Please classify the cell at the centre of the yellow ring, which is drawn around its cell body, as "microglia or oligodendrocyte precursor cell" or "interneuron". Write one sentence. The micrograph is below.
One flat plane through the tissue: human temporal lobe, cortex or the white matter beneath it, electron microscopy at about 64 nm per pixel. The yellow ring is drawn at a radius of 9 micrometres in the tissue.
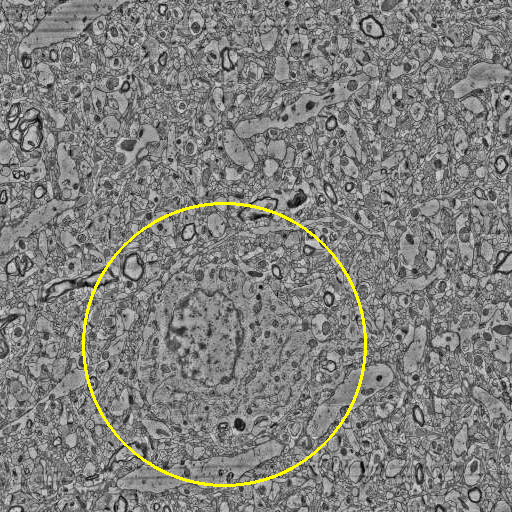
The cell at the ring's centre is classified as an interneuron.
